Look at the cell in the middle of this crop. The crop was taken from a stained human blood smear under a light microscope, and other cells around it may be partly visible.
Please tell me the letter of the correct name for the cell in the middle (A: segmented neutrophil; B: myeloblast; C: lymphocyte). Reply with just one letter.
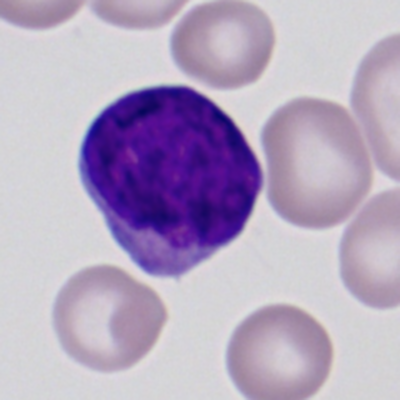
B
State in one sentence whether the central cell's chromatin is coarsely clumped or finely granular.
This nucleus has coarsely clumped chromatin.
